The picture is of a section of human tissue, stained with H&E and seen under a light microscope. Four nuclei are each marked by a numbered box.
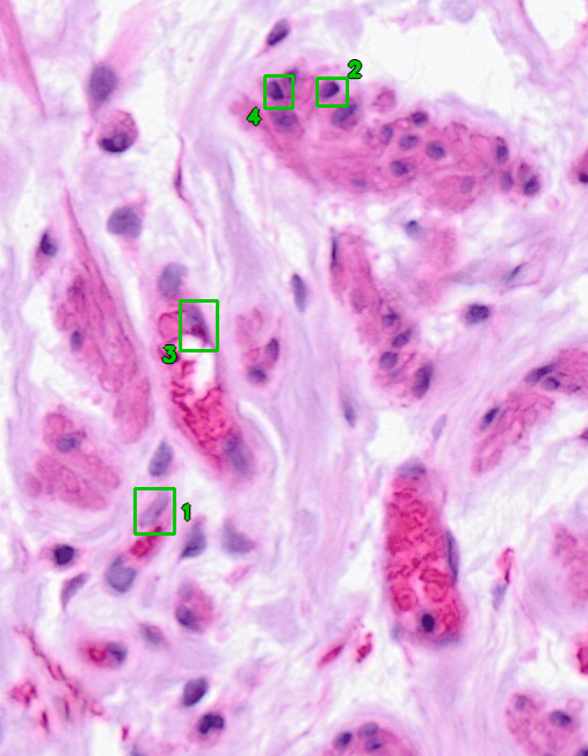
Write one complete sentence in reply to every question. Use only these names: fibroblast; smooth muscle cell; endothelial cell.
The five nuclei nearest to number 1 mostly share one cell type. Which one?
Fibroblasts account for more than half of the five nuclei nearest to number 1.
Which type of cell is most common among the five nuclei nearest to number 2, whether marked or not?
Most of the five nuclei nearest to number 2 are those of smooth muscle cells.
